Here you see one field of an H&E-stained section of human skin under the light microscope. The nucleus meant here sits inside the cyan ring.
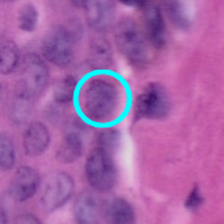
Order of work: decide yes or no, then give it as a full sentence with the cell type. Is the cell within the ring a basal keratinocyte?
Yes, within this tissue section, the cell within the ring is a basal keratinocyte.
